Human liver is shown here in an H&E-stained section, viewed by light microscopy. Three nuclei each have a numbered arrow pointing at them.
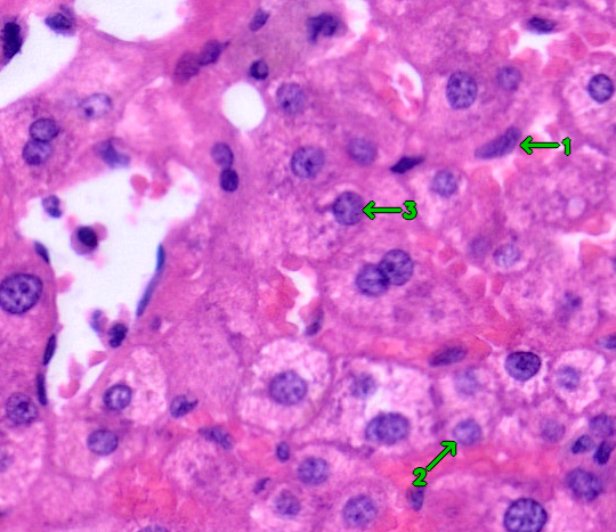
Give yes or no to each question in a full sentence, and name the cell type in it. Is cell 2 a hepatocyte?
Yes, the cell sitting at number 2 is a hepatocyte.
